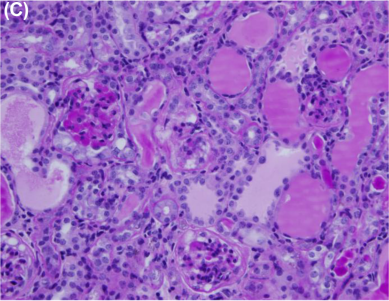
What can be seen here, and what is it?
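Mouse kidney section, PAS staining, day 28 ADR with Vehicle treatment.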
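Several tubules are greatly dilated and filled with smooth, pale-pink homogeneous casts, their epithelium thinned. Between the tubules the interstitium is widened and crowded with small dark nuclei. Glomeruli show magenta-staining material within the tuft. Surviving tubules have cuboidal cells with round nuclei, but the orderly back-to-back arrangement of a normal cortex is lost.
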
